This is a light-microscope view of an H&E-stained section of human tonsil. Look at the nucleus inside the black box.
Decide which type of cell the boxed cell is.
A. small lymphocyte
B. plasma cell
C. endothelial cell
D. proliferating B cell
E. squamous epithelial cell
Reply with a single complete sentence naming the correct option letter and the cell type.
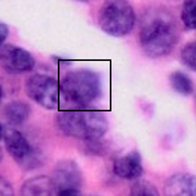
The correct option here, D, identifies the boxed cell as a proliferating B cell.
